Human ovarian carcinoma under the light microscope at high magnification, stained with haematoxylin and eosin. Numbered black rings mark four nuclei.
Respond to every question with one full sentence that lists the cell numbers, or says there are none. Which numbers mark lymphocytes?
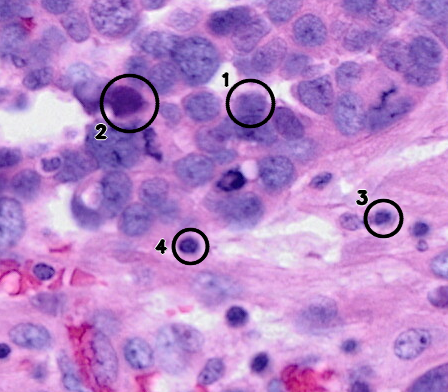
The cells numbered 3 and 4 are, by type, lymphocytes.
